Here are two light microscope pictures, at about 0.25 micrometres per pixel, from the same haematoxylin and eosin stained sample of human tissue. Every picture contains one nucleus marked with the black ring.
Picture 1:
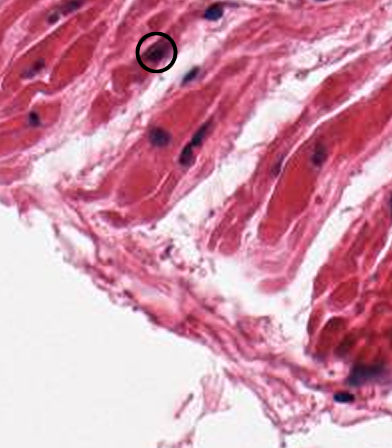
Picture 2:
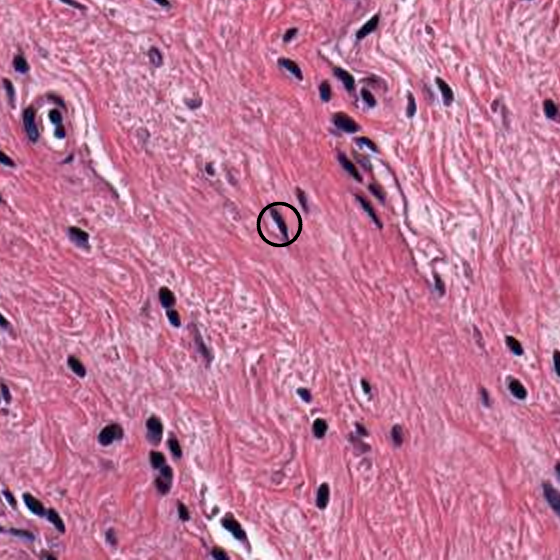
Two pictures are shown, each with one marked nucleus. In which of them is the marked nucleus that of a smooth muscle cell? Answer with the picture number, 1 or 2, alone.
1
